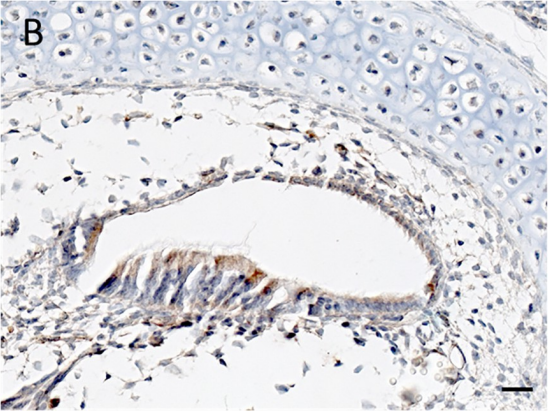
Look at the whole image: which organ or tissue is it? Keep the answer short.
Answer: cochlear turns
